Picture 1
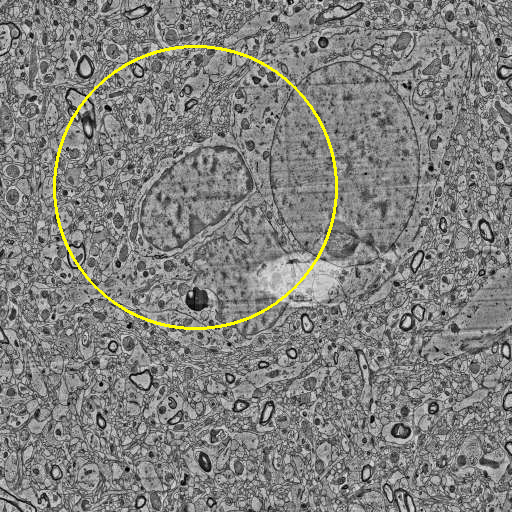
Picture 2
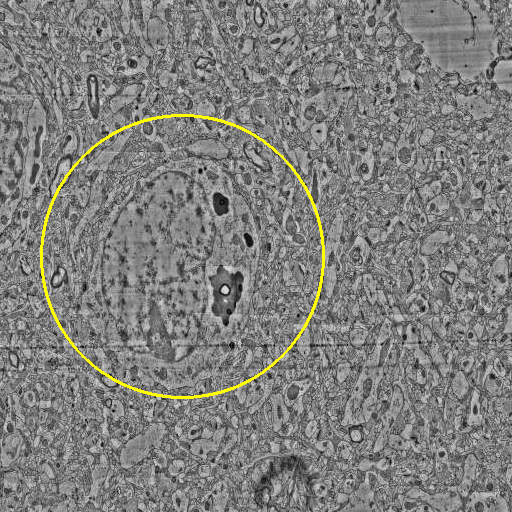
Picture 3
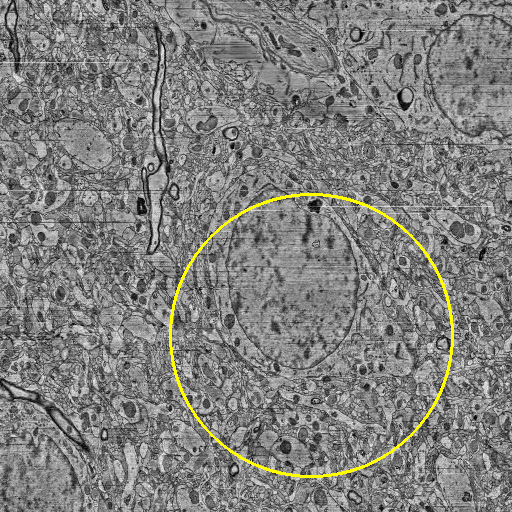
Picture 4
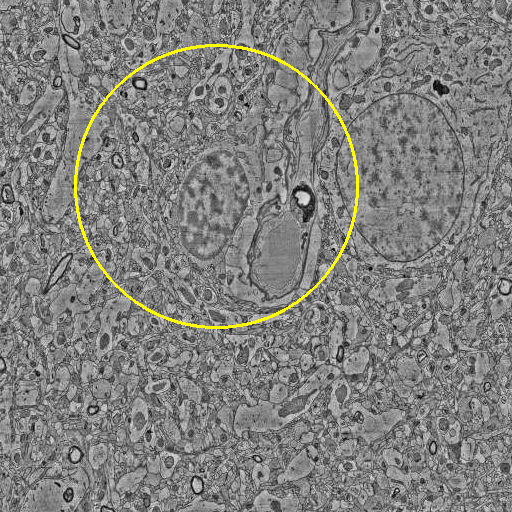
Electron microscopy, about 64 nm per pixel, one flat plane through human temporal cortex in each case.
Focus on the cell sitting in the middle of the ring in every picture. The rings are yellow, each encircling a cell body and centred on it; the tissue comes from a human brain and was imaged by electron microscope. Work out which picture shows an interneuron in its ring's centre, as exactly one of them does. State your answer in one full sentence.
In picture 2, the ring is centred on the cell in question.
